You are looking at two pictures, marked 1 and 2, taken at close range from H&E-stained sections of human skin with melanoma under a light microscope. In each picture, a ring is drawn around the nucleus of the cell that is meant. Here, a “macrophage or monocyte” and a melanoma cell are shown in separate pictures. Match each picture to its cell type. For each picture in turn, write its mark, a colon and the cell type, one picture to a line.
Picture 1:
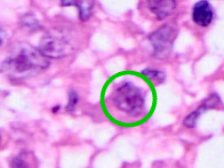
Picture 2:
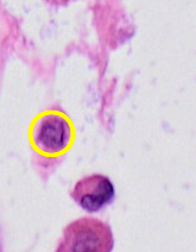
1: melanoma cell
2: macrophage or monocyte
